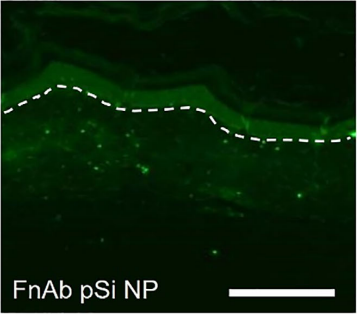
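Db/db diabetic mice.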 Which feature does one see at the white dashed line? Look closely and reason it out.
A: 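A brighter, even band lies above the dashed line. The dashed line follows the undulating lower border of that band.
Hence: dermal‐epidermal junction.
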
